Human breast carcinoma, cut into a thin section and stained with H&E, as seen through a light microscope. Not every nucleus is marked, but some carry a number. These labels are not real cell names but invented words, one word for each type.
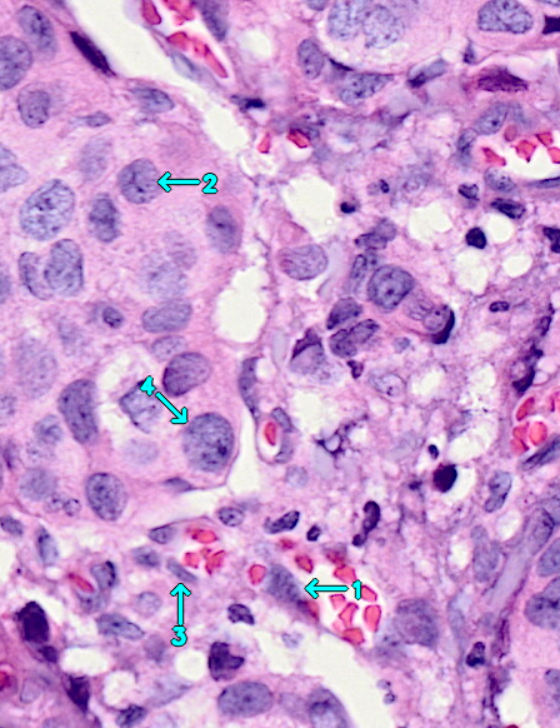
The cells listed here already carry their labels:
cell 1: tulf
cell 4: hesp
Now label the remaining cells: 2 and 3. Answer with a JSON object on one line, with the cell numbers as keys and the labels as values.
{"2": "hesp", "3": "tulf"}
